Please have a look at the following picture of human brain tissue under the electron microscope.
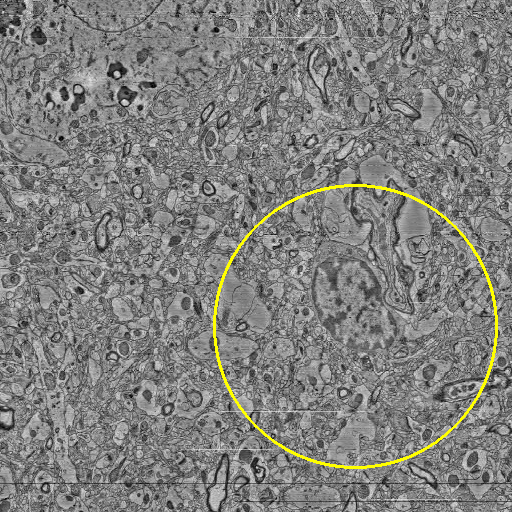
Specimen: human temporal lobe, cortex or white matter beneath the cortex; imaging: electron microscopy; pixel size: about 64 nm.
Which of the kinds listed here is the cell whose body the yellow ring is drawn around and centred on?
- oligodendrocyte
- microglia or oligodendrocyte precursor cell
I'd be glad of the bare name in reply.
oligodendrocyte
